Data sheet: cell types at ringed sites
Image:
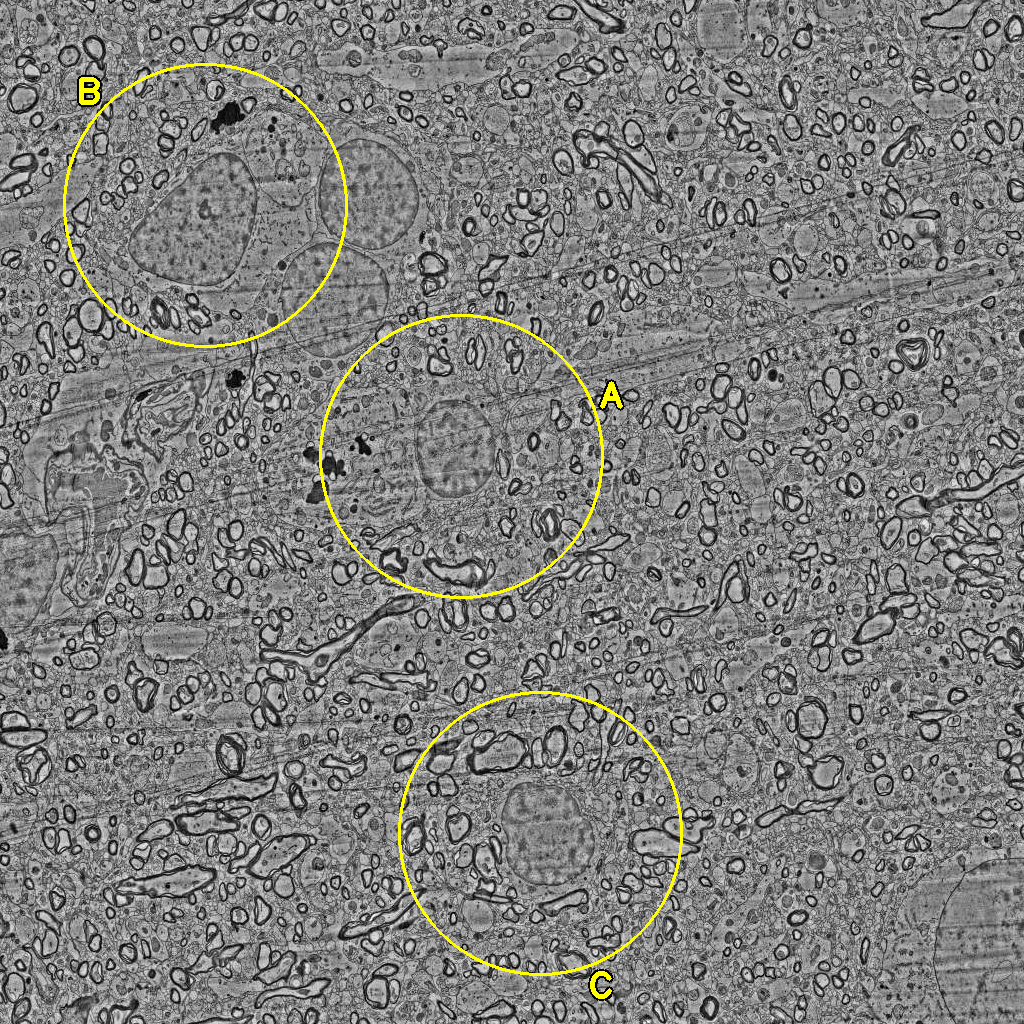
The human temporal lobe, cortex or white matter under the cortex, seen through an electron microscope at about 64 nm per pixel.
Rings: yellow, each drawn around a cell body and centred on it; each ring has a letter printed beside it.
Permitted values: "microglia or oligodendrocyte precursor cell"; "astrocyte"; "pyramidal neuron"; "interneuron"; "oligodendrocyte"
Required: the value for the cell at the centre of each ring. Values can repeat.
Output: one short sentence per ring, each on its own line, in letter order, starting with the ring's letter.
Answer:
Ring A has an oligodendrocyte at its centre.
Ring B has a microglial cell or oligodendrocyte precursor cell at its centre.
Ring C has an oligodendrocyte at its centre.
